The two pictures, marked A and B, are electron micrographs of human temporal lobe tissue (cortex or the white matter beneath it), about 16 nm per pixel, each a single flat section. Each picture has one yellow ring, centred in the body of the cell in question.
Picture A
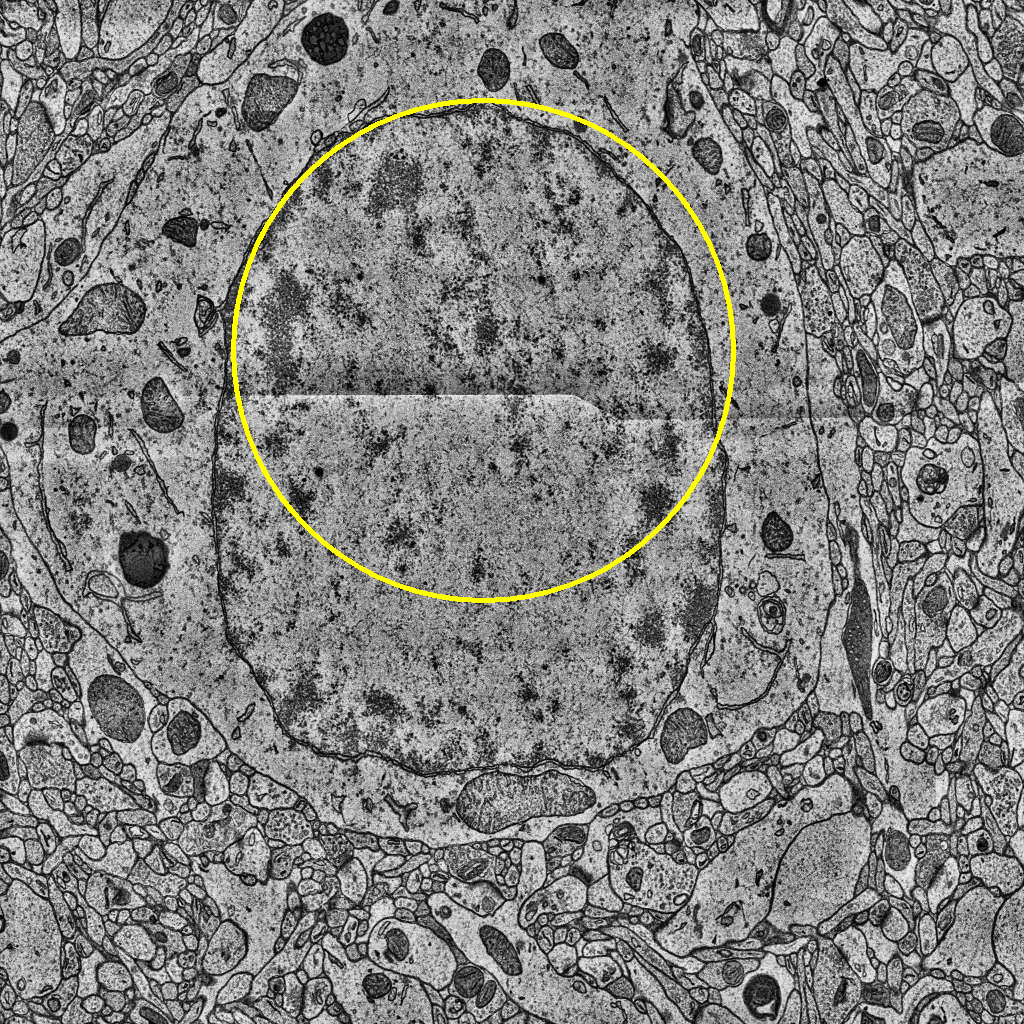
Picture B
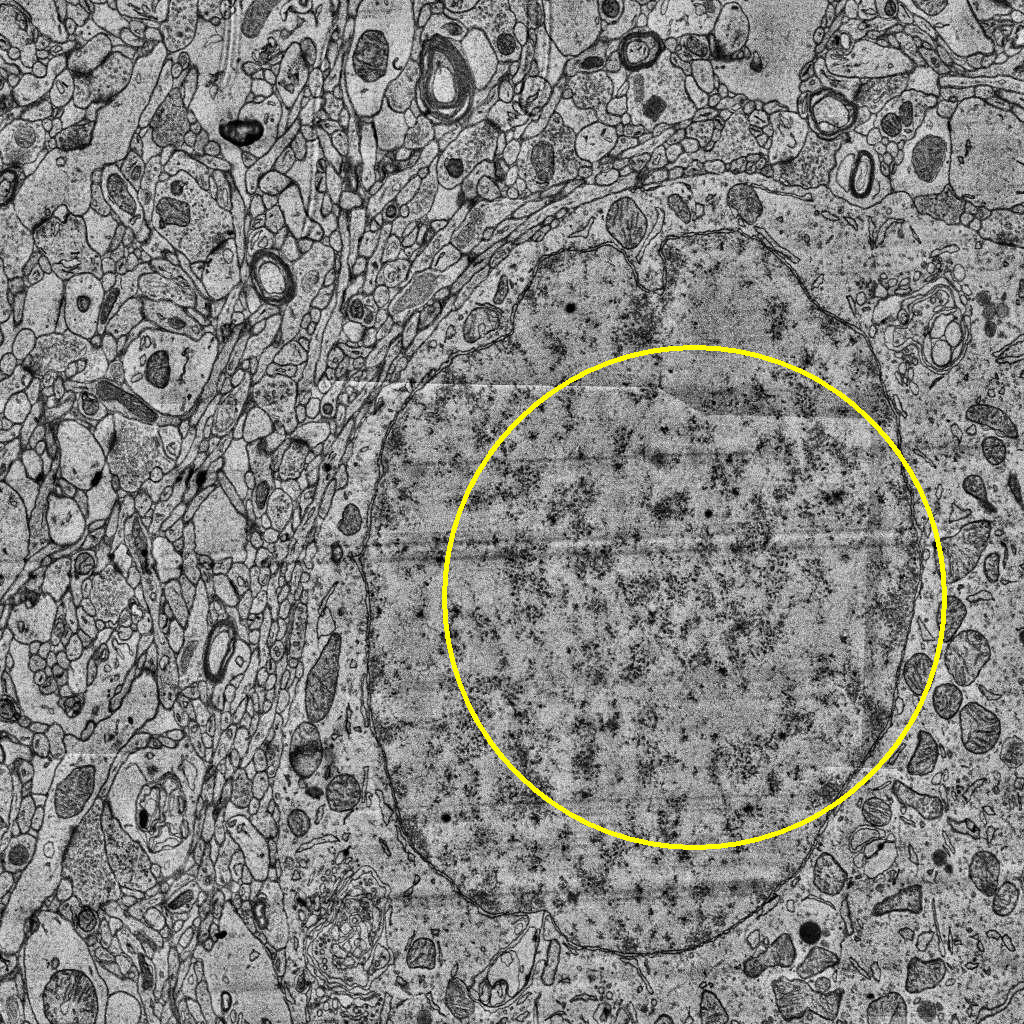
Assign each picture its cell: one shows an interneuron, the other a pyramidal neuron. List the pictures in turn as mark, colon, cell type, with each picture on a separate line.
A: pyramidal neuron
B: interneuron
